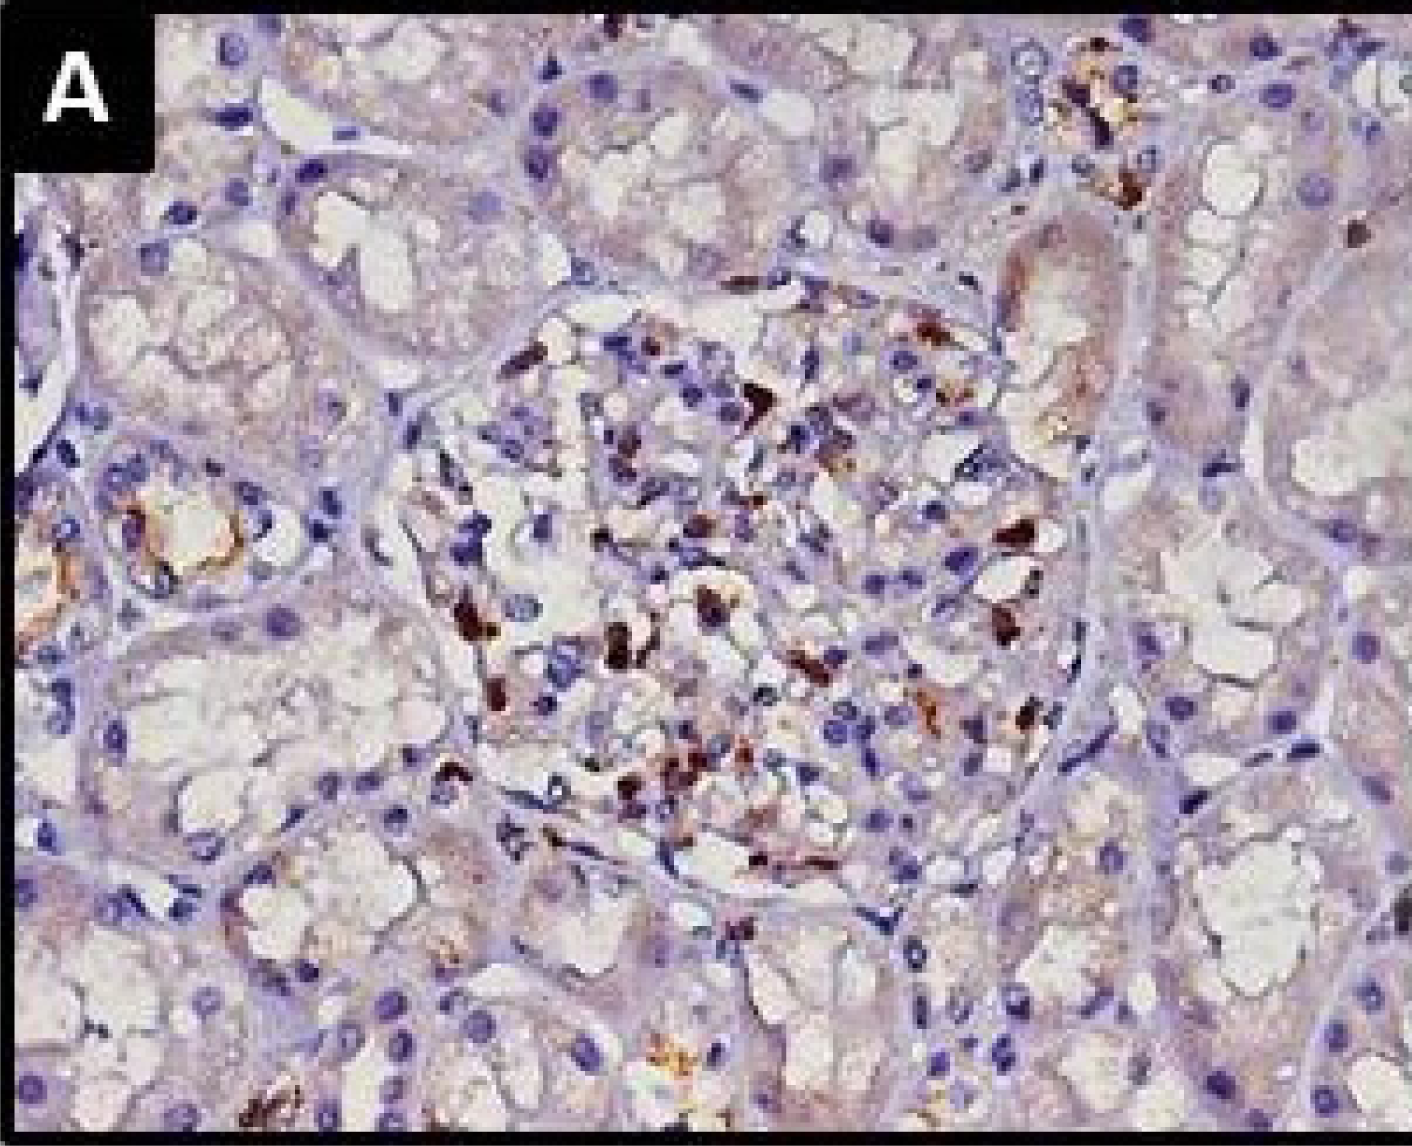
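A glomerulus lies in the centre, surrounded by cross-sectioned renal tubules whose epithelium has pale, vacuolated cytoplasm and round blue nuclei. Within the glomerular tuft, scattered cells are stained dark brown and lie among blue-stained nuclei and open capillary loops. The surrounding tubules show only faint brown tinting, with a few brown cells in nearby tubules or the interstitium.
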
